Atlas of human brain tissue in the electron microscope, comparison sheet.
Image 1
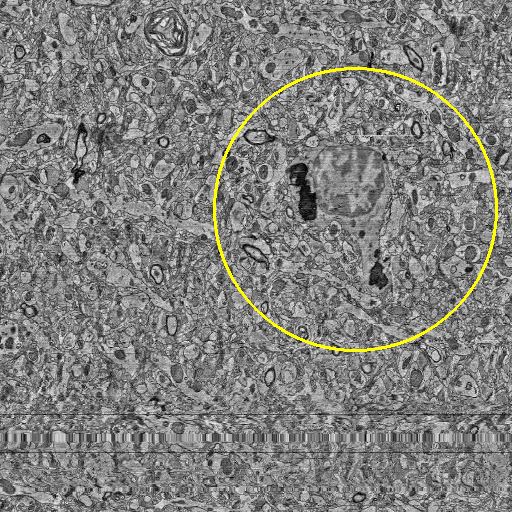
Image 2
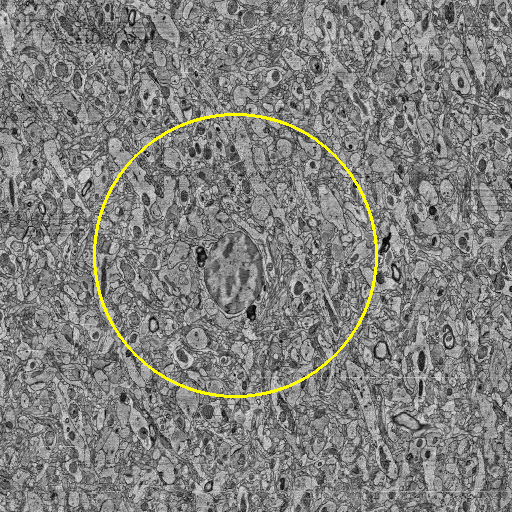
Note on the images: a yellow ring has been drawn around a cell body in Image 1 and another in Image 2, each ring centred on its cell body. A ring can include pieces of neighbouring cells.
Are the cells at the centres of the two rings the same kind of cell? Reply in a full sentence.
No, the two cells are of two kinds.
